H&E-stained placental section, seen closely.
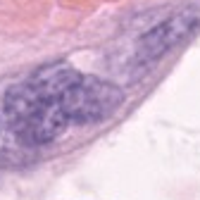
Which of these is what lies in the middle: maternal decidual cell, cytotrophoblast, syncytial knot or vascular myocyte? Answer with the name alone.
syncytial knot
